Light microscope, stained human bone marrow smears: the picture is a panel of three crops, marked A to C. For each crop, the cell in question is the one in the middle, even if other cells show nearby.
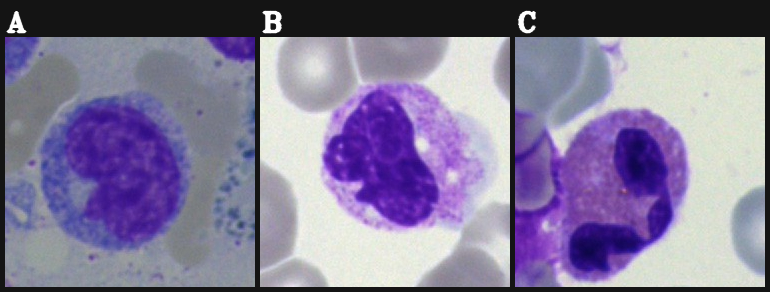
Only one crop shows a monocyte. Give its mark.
A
